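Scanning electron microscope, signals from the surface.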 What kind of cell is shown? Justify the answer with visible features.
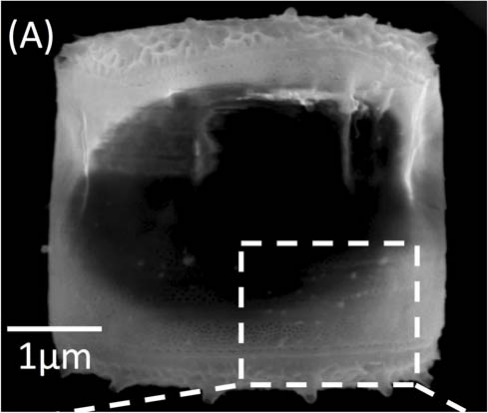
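Diatom. A single boxy cell with a rigid, ornamented wall. The wall surface carries rows of fine pores. Ridged bands run around the top and bottom rims.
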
